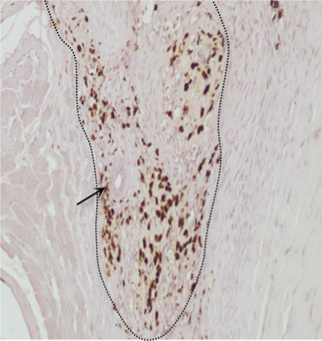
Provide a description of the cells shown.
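A small blood vessel with an open lumen lies within this region. The tissue outside the outline is pale and fibrous, with few brown cells.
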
